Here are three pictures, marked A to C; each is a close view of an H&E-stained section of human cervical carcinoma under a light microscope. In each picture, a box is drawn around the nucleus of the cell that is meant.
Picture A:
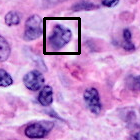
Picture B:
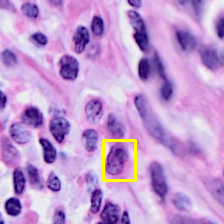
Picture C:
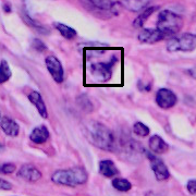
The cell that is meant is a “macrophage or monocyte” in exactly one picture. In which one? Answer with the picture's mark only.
B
